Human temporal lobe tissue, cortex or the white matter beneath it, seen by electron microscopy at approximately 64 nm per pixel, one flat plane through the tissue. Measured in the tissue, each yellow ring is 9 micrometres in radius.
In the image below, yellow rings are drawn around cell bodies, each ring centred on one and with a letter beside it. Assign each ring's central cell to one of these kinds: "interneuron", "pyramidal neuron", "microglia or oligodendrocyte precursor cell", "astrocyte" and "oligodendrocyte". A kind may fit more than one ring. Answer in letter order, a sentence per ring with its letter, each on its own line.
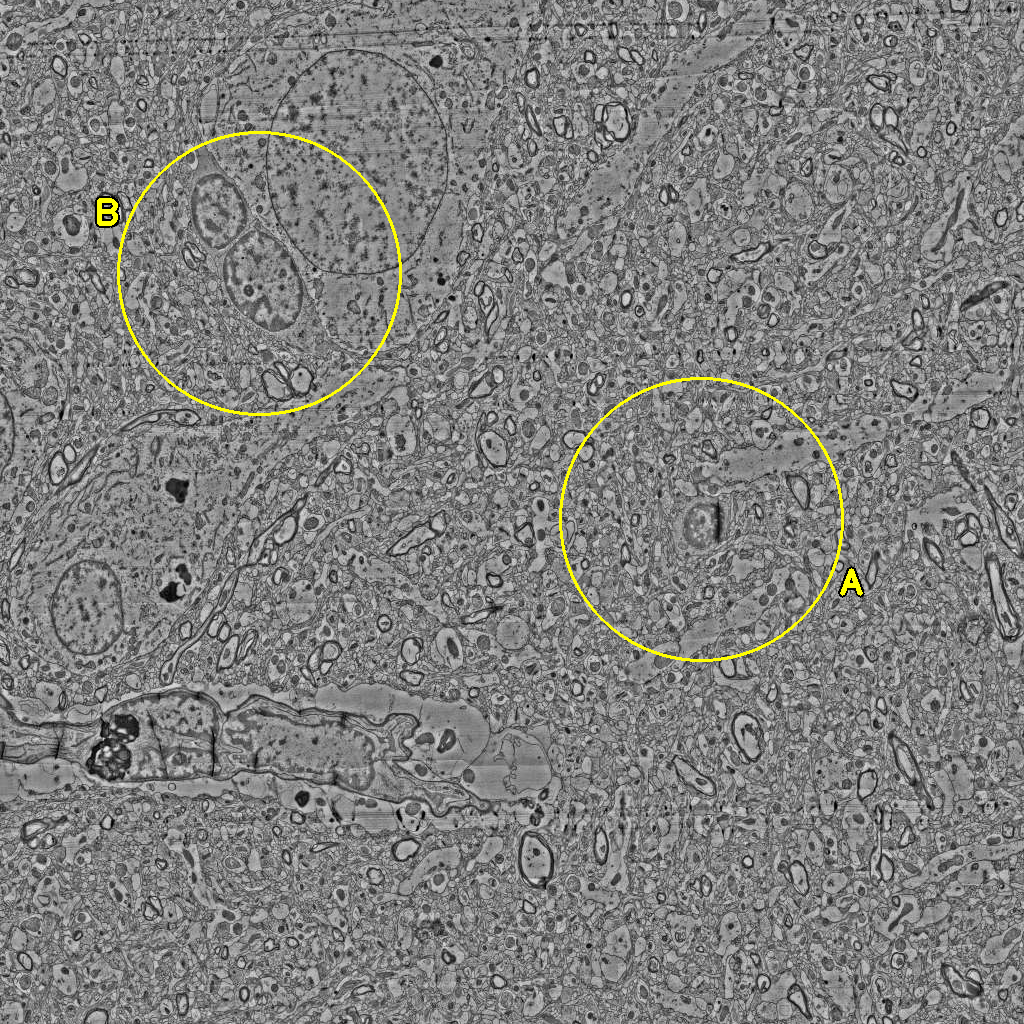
The central cell of ring A is an oligodendrocyte.
The central cell of ring B is an oligodendrocyte.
